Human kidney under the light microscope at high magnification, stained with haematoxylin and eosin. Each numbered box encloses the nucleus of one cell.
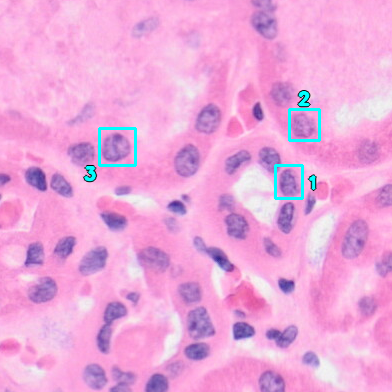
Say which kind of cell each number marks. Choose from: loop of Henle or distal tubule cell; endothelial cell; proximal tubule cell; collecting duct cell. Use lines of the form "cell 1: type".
cell 1: collecting duct cell
cell 2: proximal tubule cell
cell 3: proximal tubule cell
